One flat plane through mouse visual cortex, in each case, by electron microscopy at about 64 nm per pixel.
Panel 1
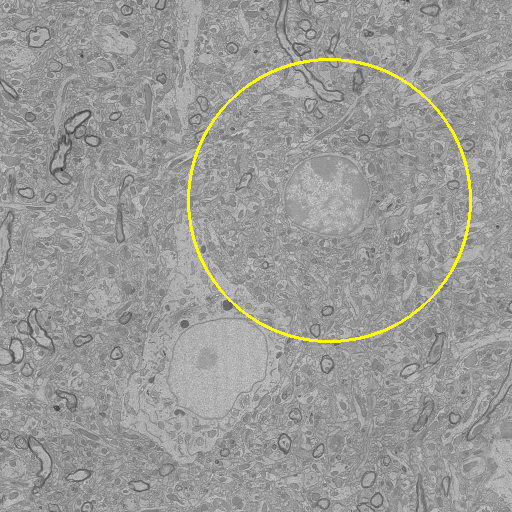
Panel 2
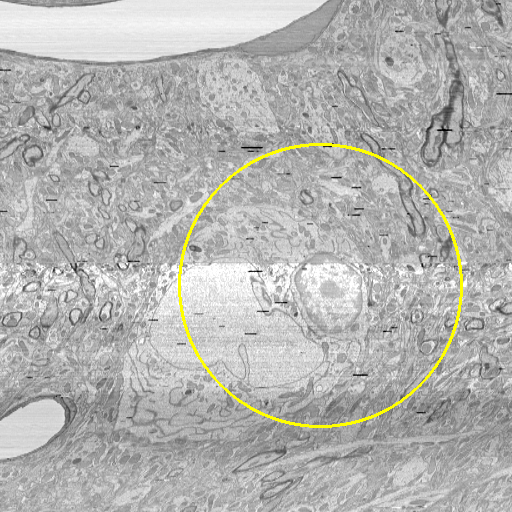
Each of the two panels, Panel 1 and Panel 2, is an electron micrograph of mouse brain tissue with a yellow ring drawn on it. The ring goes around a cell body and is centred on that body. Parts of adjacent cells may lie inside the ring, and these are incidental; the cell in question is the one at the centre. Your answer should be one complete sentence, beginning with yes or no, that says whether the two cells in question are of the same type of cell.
Yes, the two cells are of the same type.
